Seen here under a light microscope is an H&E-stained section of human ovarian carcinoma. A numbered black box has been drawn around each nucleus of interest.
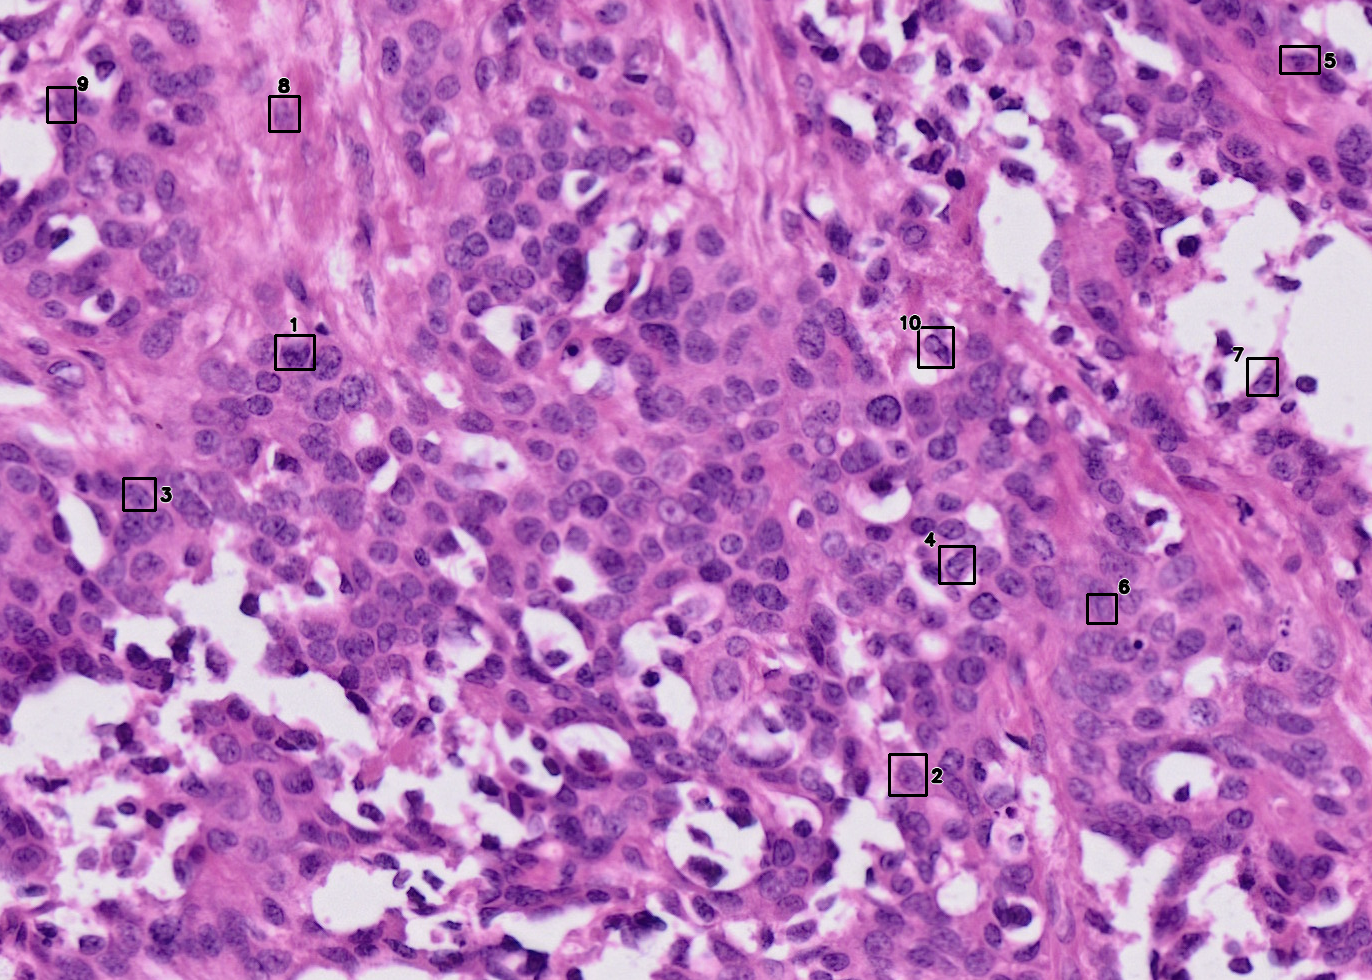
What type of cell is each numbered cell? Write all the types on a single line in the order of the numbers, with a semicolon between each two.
carcinoma cell; carcinoma cell; carcinoma cell; macrophage or monocyte; carcinoma cell; carcinoma cell; macrophage or monocyte; fibroblast; carcinoma cell; macrophage or monocyte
